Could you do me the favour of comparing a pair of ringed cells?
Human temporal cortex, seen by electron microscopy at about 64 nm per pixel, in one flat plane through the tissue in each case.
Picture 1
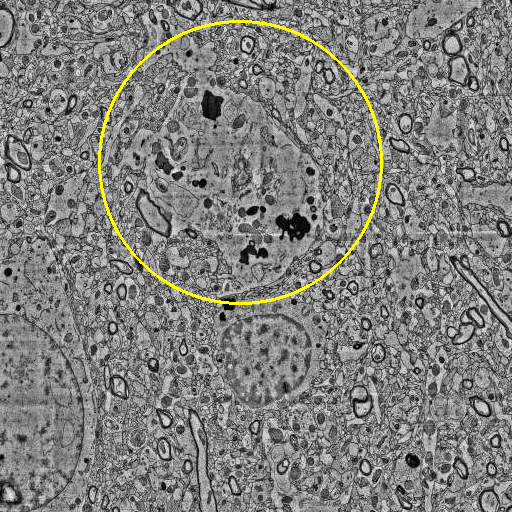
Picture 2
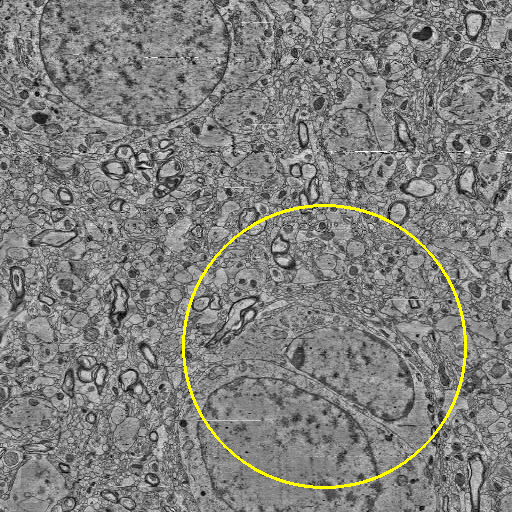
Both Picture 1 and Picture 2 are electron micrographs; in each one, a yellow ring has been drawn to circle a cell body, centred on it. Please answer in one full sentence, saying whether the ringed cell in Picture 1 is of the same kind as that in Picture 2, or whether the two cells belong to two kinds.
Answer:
The ringed cells in Picture 1 and Picture 2 belong to two kinds.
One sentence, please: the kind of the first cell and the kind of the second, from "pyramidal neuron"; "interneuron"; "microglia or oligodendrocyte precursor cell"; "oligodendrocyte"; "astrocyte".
The ring in the first picture surrounds an astrocyte, and the ring in the second surrounds a microglial cell or oligodendrocyte precursor cell.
